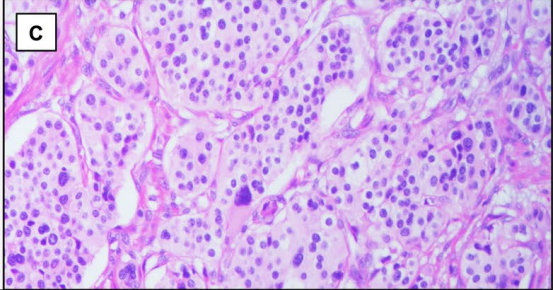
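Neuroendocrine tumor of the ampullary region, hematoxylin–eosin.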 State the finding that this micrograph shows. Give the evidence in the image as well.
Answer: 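Most nuclei are small, round and alike. A few nuclei, one near the lower middle, are much larger and darker than the rest.
Conclusion: occasional nuclear pleomorphism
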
